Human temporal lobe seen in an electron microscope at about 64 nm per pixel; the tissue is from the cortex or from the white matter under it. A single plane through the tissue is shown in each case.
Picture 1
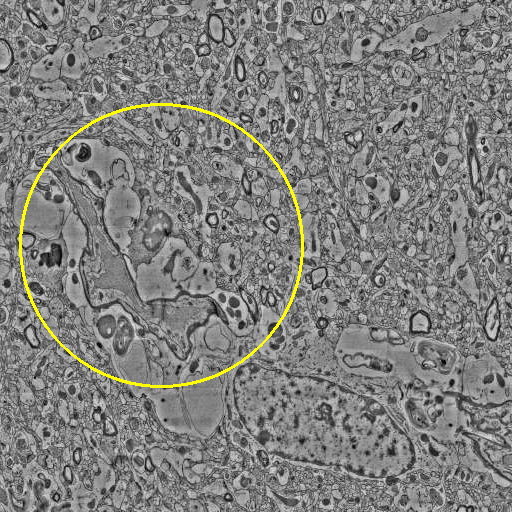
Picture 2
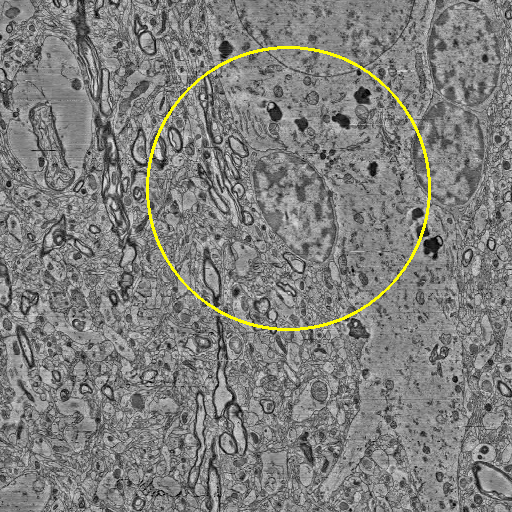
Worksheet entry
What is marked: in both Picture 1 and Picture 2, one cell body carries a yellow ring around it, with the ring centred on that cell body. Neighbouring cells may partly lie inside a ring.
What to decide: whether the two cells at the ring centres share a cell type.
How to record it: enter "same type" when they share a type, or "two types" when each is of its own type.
same type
